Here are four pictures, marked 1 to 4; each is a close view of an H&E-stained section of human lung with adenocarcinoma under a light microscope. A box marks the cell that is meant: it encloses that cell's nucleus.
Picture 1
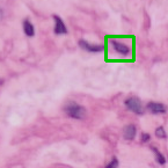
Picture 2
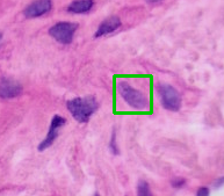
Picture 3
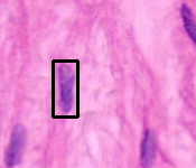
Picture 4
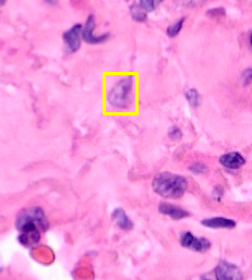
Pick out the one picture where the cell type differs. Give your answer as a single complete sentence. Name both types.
Picture 4 is the odd one out: it shows a fibroblast, while the others show “smooth muscle cells or pericytes”.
